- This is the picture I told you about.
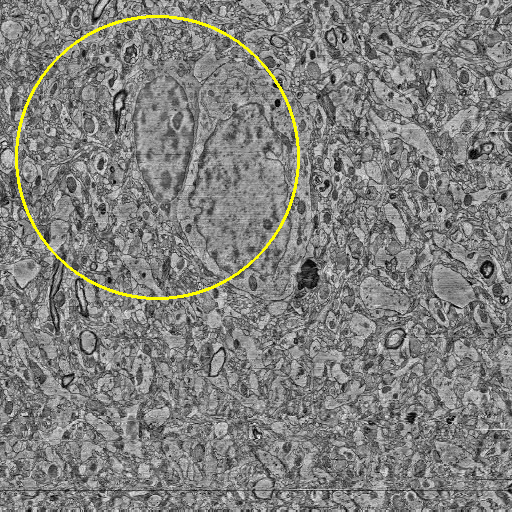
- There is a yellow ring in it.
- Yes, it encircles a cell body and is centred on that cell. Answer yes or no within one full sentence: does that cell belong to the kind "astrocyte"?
No, the cell on which the yellow ring is centred belongs to a different kind.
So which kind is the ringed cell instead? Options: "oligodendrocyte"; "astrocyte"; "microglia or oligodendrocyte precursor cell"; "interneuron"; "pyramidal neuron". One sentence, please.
Here, the ring is centred on an oligodendrocyte instead.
